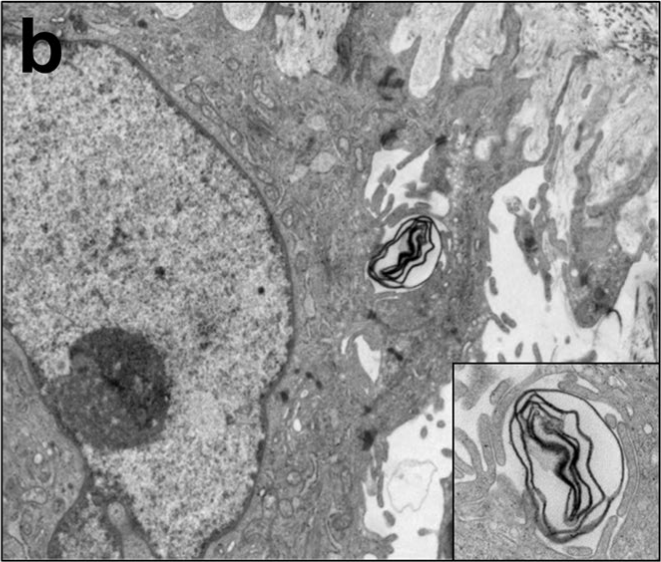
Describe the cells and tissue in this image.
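The cytoplasm to the right is crowded with membrane profiles and small organelles. Within it lies a membrane-bound vacuole filled with stacked, concentric dark lamellae, a lamellar body-like structure that the inset shows enlarged. Toward the upper right the cell surface is thrown into many irregular folds and projections that border pale extracellular spaces.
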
